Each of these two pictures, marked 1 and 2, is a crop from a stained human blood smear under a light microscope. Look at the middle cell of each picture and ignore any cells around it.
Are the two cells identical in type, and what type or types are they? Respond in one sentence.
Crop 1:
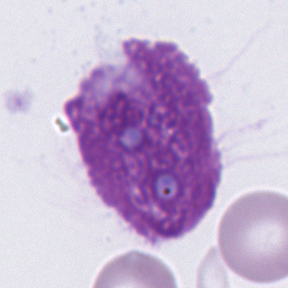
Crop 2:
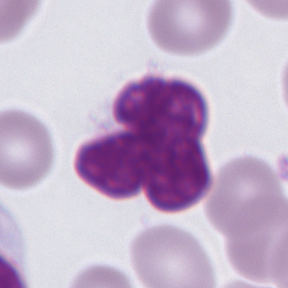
Yes, as shown in both crops, the central cells are smudge cells.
